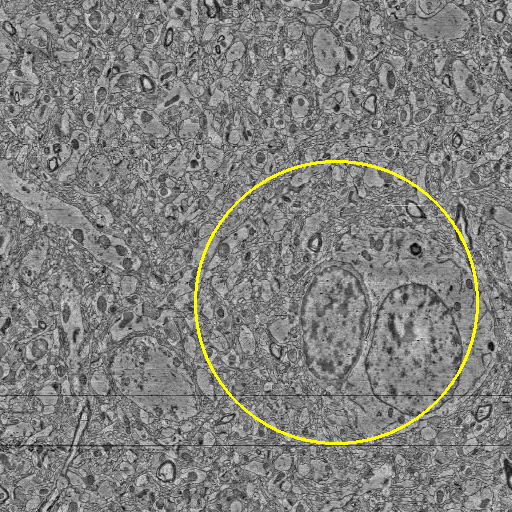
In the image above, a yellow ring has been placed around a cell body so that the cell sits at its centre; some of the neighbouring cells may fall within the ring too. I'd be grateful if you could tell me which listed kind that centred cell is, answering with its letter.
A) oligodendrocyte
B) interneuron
A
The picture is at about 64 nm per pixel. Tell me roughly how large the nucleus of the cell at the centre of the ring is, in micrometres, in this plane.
Clearly longer than it is wide in this plane, the nucleus measures roughly 8 by 4 micrometres.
